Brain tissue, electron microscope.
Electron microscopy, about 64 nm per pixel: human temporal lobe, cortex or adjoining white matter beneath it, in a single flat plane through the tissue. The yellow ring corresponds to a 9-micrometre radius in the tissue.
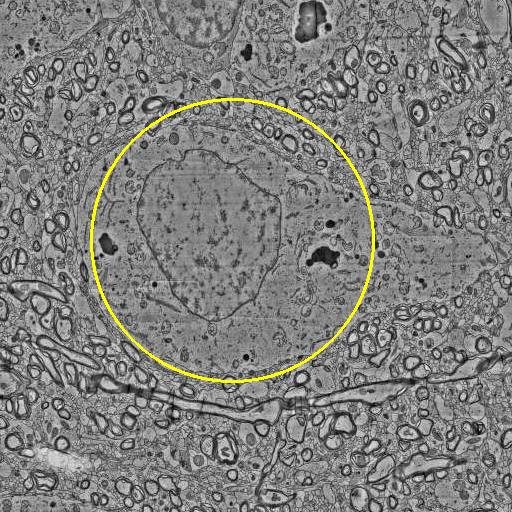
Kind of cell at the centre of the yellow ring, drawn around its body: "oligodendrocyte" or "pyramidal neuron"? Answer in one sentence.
The ring's centre falls on a pyramidal neuron.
